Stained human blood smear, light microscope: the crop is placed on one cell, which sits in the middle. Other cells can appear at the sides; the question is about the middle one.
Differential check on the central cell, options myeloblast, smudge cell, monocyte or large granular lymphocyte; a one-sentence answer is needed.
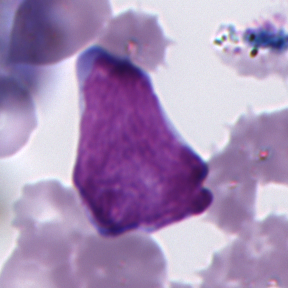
The cell marked by its central position in the crop is a myeloblast.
